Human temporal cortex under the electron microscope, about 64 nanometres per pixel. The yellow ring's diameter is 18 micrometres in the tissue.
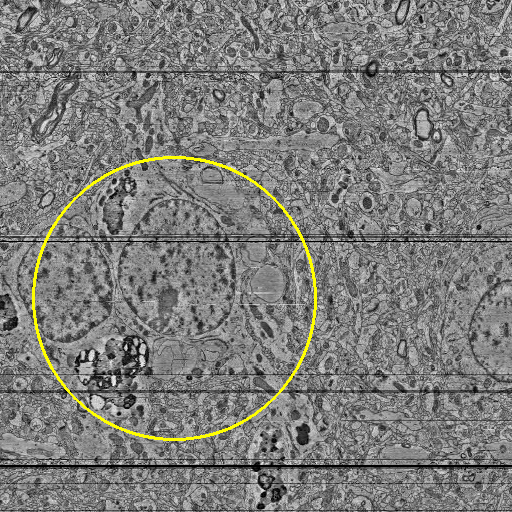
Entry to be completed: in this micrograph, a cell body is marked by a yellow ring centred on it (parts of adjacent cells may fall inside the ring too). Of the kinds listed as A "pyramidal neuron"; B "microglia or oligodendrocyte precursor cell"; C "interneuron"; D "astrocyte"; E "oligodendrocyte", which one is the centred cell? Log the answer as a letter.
D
